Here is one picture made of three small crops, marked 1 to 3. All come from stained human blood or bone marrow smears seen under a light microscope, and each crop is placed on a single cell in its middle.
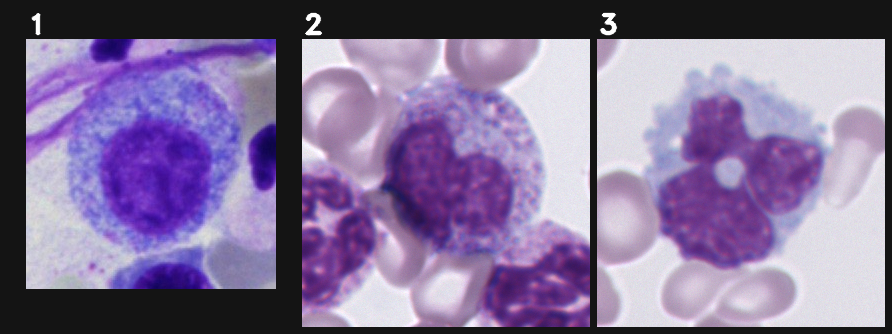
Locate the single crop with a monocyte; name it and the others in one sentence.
Crop 3 carries a monocyte in its middle, whereas crop 1 is a promyelocyte and crop 2 is a myelocyte.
